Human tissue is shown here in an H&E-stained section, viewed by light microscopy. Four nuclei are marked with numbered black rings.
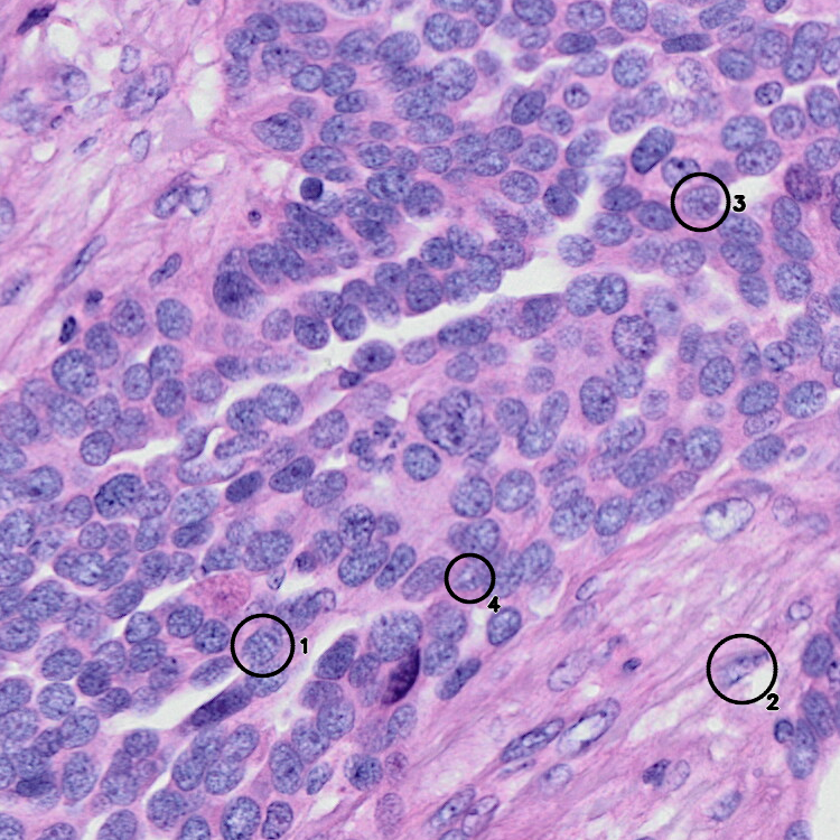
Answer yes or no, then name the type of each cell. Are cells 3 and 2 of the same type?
No, cell 3 is a carcinoma cell, and cell 2, for its part, is a fibroblast.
